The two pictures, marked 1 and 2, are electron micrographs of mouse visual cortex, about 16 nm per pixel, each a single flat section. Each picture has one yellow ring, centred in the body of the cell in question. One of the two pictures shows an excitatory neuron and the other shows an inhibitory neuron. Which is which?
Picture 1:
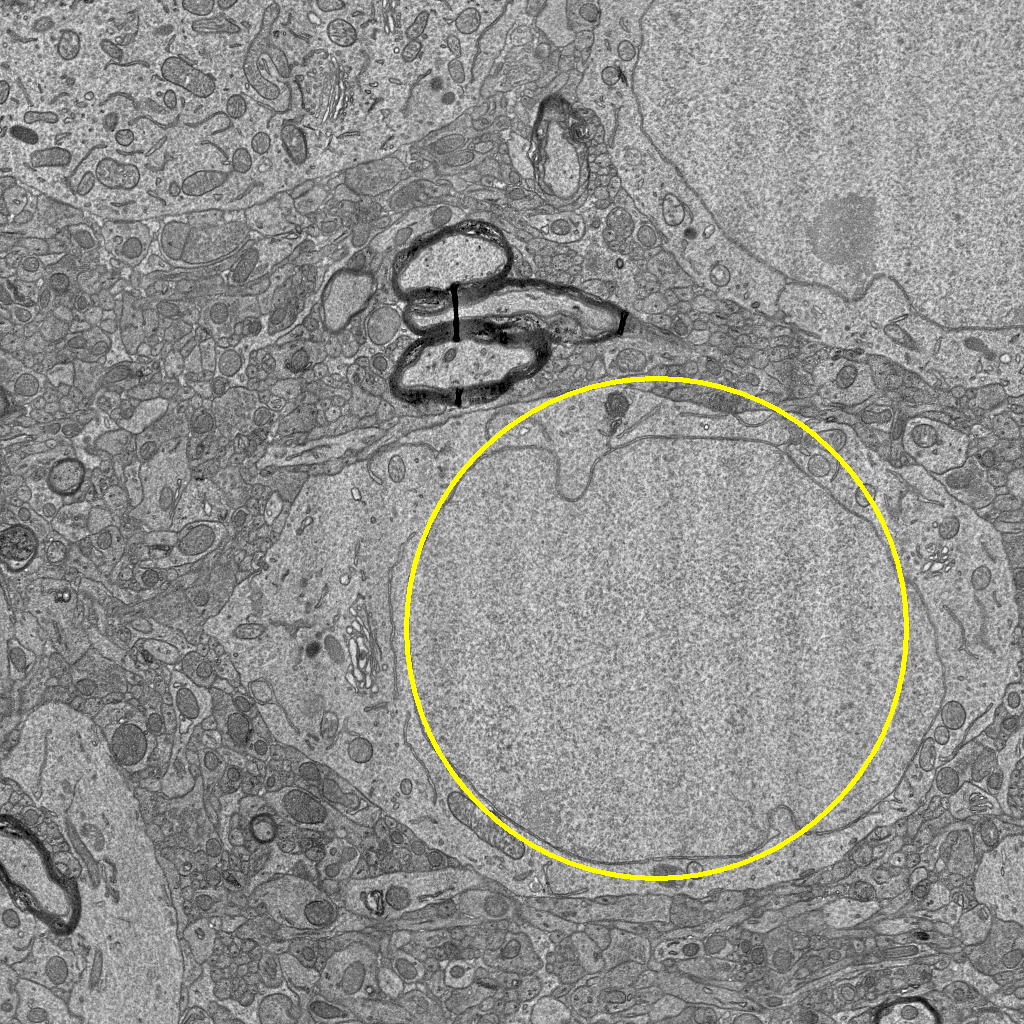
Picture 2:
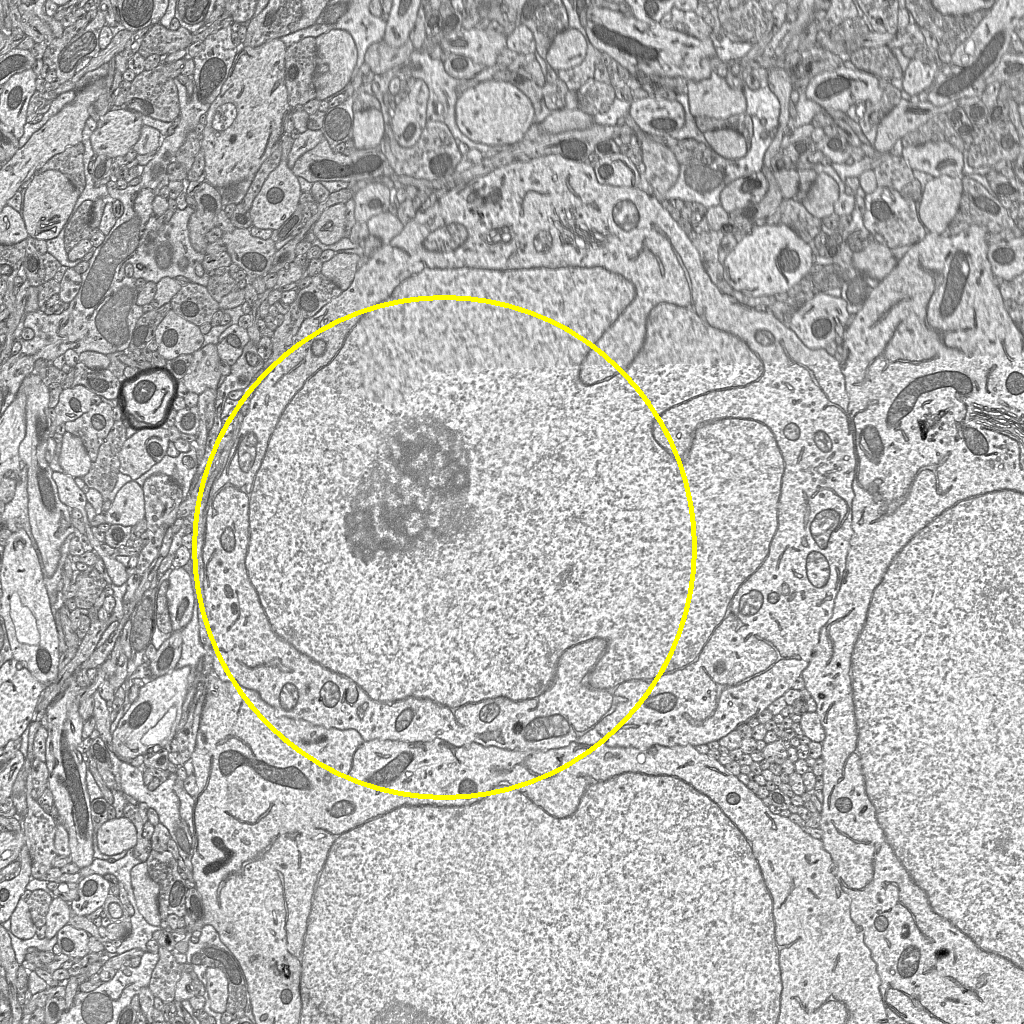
In picture 1 the cell is an excitatory neuron; in picture 2, an inhibitory neuron.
